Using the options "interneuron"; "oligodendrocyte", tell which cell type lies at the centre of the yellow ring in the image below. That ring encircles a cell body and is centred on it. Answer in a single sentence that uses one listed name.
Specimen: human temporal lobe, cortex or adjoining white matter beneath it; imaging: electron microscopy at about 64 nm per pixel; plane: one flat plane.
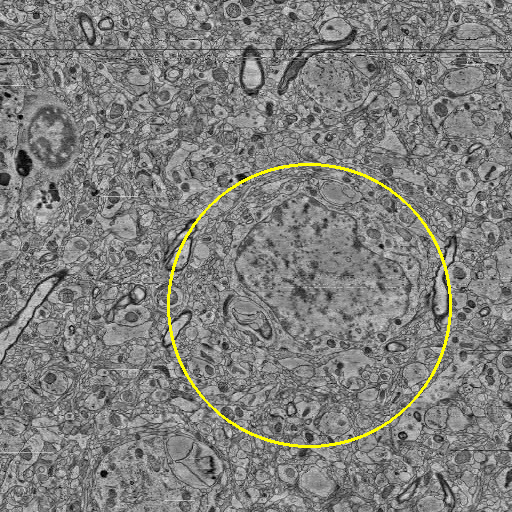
At the centre of the yellow ring lies the body of an interneuron.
